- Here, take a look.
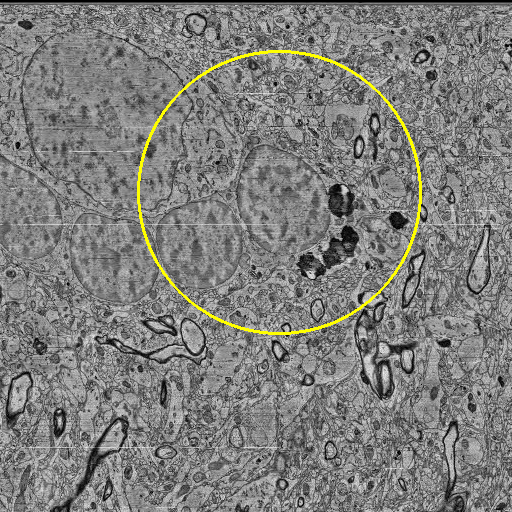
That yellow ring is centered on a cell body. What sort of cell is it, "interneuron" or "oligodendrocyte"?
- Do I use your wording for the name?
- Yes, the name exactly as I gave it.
oligodendrocyte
